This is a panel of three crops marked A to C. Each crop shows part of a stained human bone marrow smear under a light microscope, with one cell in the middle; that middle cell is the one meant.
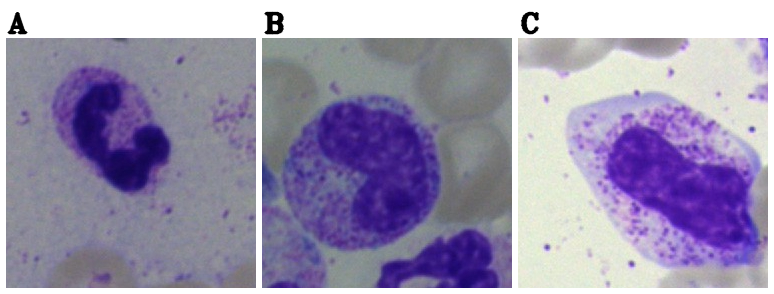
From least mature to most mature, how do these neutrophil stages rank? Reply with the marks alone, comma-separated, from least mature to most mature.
C, B, A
